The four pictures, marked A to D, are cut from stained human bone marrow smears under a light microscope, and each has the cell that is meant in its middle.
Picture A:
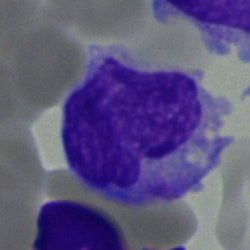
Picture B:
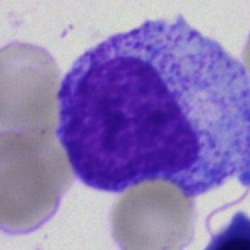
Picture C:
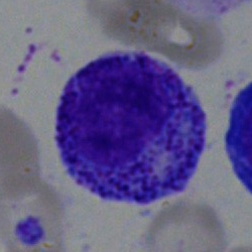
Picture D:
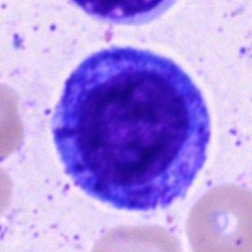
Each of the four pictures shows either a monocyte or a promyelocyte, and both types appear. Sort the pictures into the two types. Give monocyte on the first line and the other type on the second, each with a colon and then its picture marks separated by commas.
monocyte: A
promyelocyte: B, C, D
